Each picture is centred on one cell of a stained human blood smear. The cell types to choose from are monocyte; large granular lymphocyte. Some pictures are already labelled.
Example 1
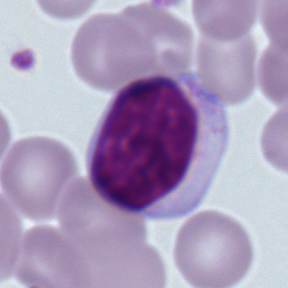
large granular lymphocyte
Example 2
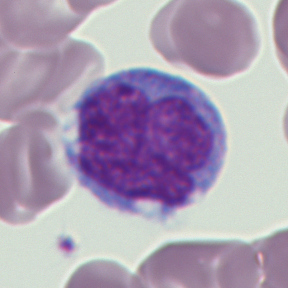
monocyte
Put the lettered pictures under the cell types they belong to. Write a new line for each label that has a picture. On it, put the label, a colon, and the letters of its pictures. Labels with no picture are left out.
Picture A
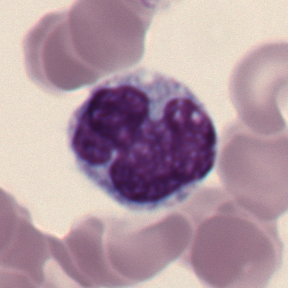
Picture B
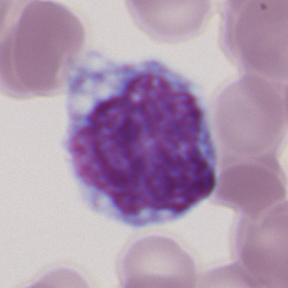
monocyte: A, B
